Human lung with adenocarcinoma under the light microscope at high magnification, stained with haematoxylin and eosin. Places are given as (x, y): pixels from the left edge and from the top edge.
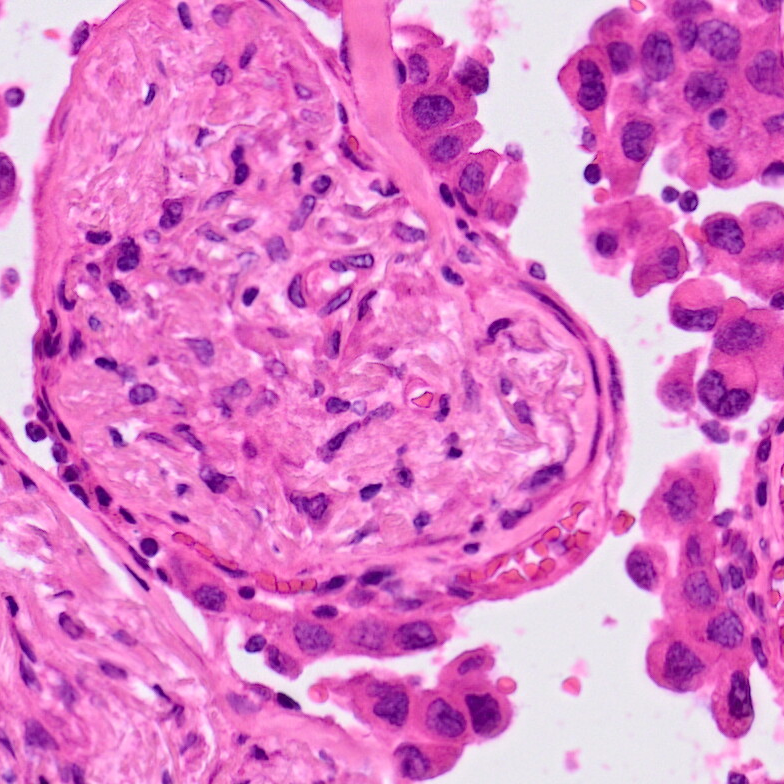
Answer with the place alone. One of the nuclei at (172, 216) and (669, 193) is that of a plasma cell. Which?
(172, 216)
